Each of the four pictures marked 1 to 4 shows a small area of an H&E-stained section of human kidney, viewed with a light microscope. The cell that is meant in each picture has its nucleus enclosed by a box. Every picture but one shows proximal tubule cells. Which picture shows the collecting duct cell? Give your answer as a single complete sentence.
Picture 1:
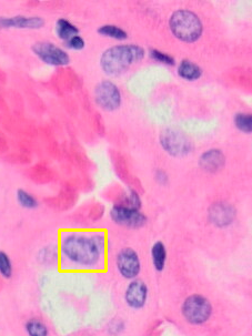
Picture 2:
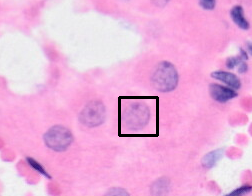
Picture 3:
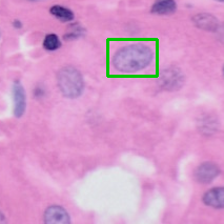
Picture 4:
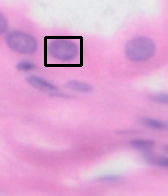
It is picture 1 that shows the collecting duct cell.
